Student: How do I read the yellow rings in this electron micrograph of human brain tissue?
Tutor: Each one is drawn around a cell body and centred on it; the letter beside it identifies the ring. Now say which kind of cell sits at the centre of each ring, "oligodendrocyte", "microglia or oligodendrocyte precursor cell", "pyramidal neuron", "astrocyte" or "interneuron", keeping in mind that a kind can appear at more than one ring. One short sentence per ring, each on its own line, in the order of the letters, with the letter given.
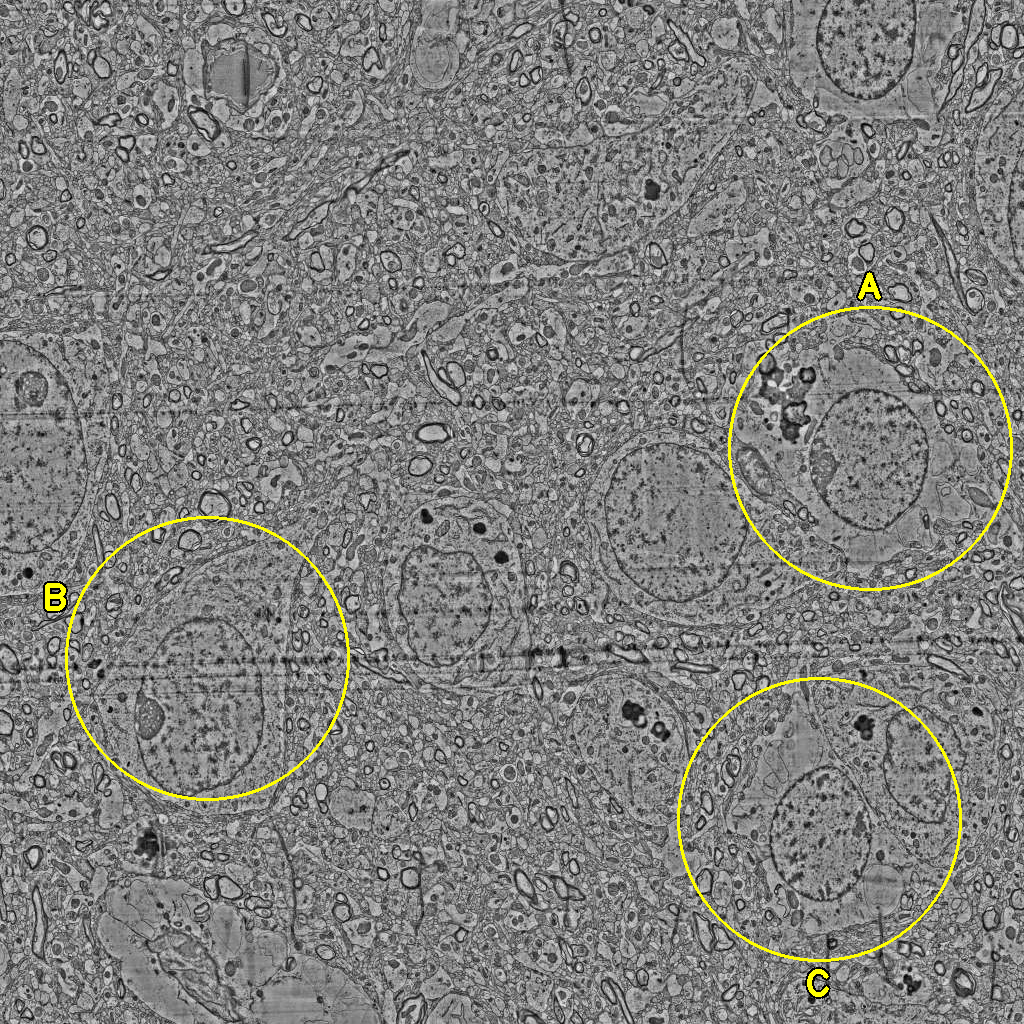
In the centre of ring A is an astrocyte.
In the centre of ring B is a pyramidal neuron.
In the centre of ring C is an astrocyte.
